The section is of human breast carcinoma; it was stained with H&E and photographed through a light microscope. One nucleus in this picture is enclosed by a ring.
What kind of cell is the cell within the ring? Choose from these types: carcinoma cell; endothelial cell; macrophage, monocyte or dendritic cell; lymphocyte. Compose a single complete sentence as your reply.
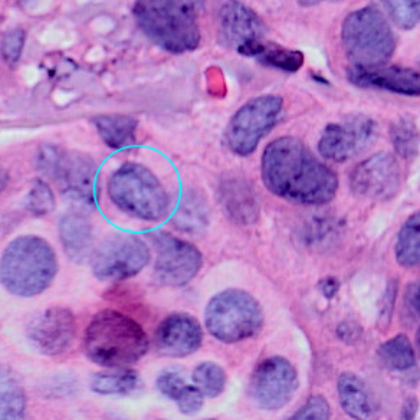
Right, so the cell within the ring is a carcinoma cell, to answer that.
